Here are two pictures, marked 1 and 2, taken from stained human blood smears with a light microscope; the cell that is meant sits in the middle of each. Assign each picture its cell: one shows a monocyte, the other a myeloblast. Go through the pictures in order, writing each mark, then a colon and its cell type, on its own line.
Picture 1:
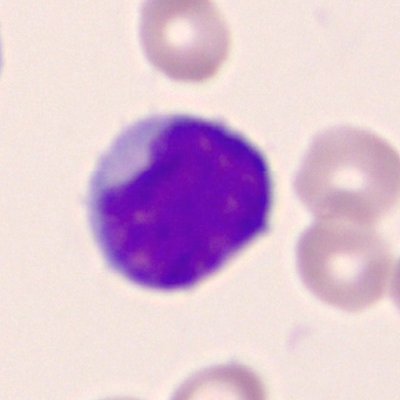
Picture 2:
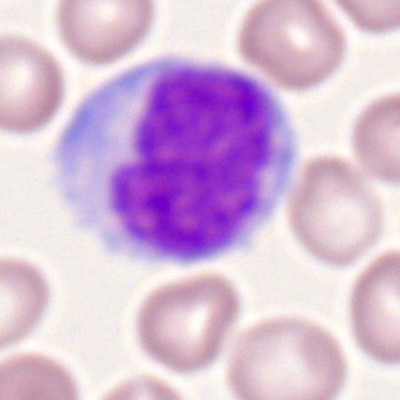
1: myeloblast
2: monocyte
